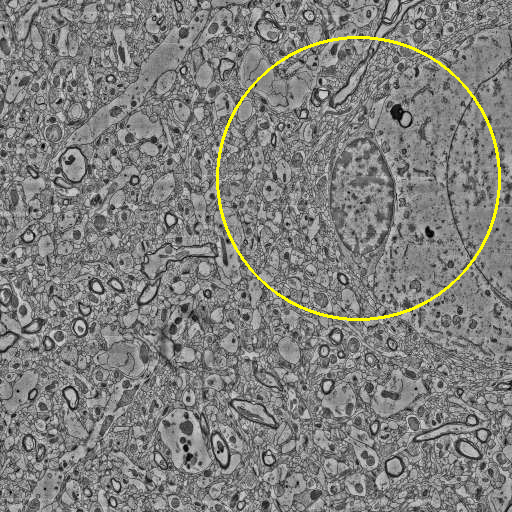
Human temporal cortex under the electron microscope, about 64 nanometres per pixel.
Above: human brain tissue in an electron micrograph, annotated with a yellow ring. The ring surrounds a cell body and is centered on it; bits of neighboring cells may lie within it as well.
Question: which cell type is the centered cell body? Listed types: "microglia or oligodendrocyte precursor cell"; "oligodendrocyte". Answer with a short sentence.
The centered cell body is an oligodendrocyte.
